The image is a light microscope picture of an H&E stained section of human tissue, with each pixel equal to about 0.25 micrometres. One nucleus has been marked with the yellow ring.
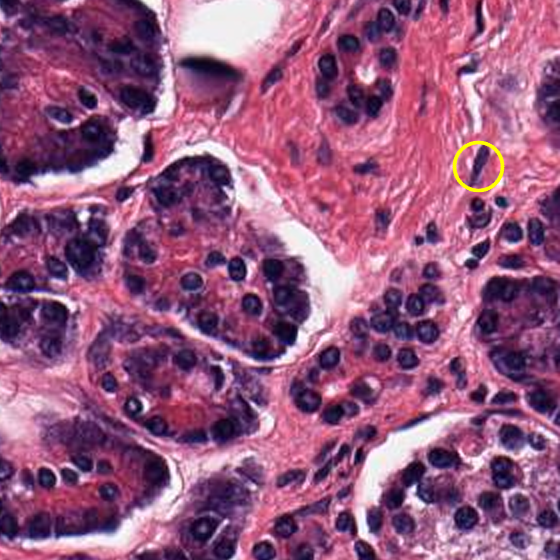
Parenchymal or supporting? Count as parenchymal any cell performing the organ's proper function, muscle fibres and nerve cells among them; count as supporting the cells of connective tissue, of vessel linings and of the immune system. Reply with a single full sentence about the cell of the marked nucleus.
Identified as a supporting cell is the cell holding the marked nucleus.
